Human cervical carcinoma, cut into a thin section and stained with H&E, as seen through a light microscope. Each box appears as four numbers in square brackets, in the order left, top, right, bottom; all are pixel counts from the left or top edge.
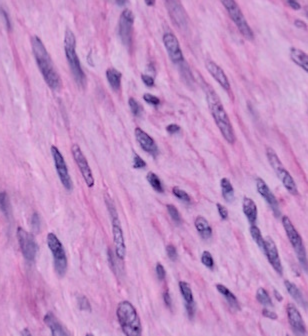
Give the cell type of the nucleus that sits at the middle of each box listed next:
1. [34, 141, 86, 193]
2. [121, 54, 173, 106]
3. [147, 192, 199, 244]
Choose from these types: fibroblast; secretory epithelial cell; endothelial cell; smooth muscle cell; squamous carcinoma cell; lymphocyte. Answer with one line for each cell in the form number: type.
1: fibroblast
2: smooth muscle cell
3: smooth muscle cell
